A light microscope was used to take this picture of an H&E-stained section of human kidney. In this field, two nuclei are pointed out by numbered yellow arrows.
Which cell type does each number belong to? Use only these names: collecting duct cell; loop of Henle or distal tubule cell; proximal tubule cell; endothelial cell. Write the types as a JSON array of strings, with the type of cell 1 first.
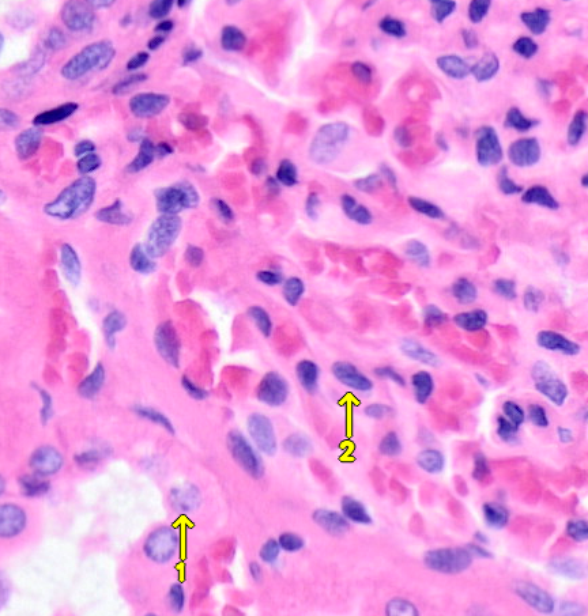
["loop of Henle or distal tubule cell", "endothelial cell"]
